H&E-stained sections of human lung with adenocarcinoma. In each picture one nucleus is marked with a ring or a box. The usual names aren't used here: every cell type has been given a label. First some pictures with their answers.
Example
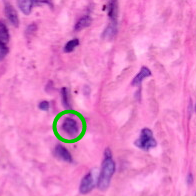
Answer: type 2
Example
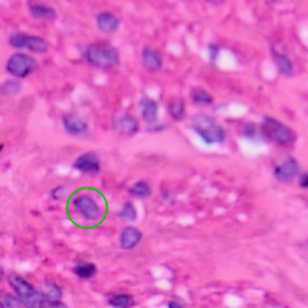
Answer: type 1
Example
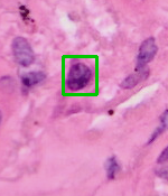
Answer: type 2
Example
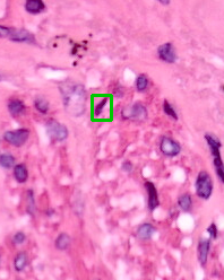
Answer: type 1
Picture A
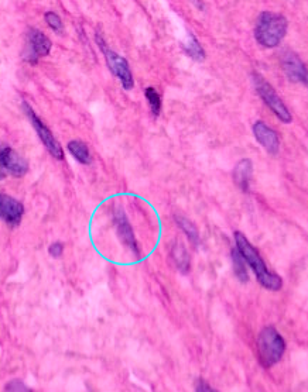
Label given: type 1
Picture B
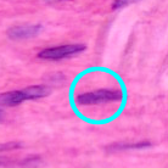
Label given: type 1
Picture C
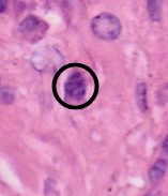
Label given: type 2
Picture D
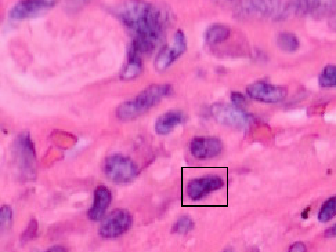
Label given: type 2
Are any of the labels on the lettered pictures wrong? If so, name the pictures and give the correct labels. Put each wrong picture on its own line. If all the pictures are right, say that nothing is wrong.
None of the labels needs changing.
